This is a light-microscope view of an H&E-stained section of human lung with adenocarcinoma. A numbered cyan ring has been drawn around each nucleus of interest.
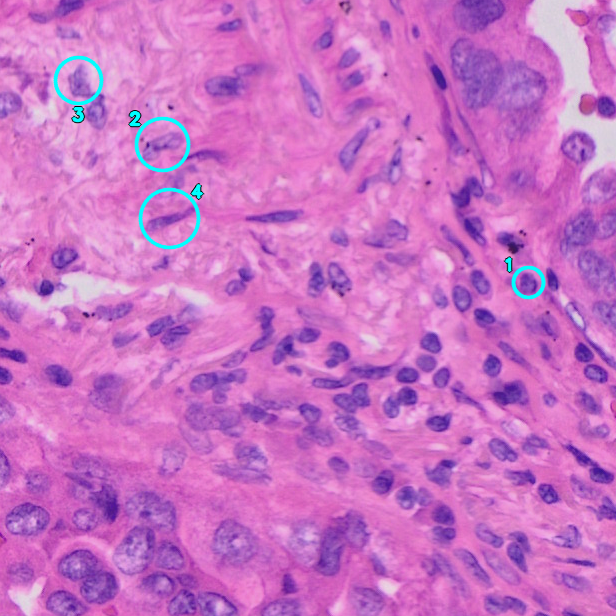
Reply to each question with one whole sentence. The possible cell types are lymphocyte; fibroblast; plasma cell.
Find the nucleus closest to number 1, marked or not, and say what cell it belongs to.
Closest to number 1 lies the nucleus of a lymphocyte.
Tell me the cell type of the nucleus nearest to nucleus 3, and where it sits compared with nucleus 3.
It is a fibroblast, whose nucleus lies below and to the right of nucleus 3.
